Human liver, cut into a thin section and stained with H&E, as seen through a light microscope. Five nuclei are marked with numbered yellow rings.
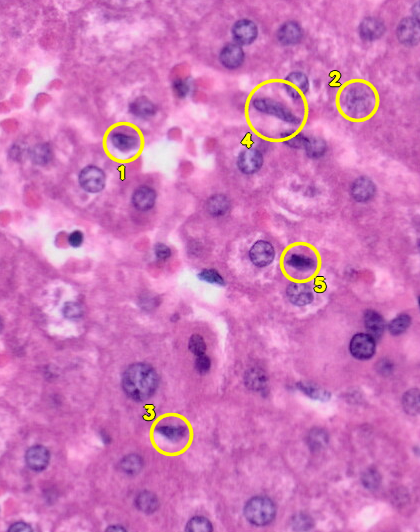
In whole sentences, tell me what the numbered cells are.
Cell 1 is a Kupffer cell, cell 2 is a hepatocyte, cell 3 is an endothelial cell, cell 4 is a Kupffer cell and cell 5 is a fibroblast or stellate cell.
